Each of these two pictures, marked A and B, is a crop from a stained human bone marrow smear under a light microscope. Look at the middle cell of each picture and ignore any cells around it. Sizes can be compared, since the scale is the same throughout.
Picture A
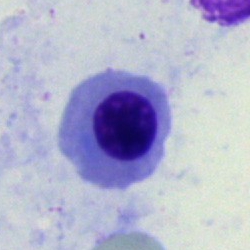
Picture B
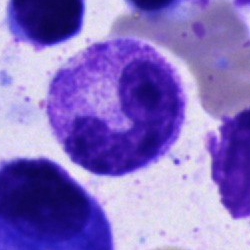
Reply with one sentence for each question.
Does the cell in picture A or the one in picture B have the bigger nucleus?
Picture B shows the larger nucleus; it covers about 2 times the area of the nucleus in picture A.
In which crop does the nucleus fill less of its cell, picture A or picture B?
Of the two, the nucleus in picture A leaves more room for cytoplasm.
